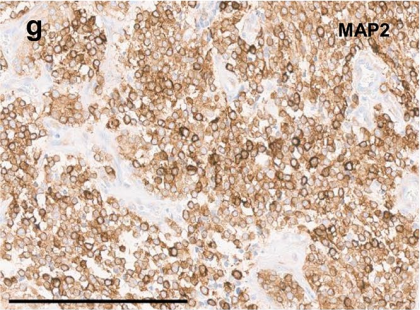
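This is a densely cellular tumor made of rounded cells packed in sheets and nests. Each cell has a round to oval pale blue nucleus surrounded by a rim of brown-stained cytoplasm, so the cells look like small rings side by side. The nests are divided by pale, unstained bands of fibrous stroma carrying small vessels. The cells are fairly uniform in size, with little cytoplasm around each nucleus.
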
